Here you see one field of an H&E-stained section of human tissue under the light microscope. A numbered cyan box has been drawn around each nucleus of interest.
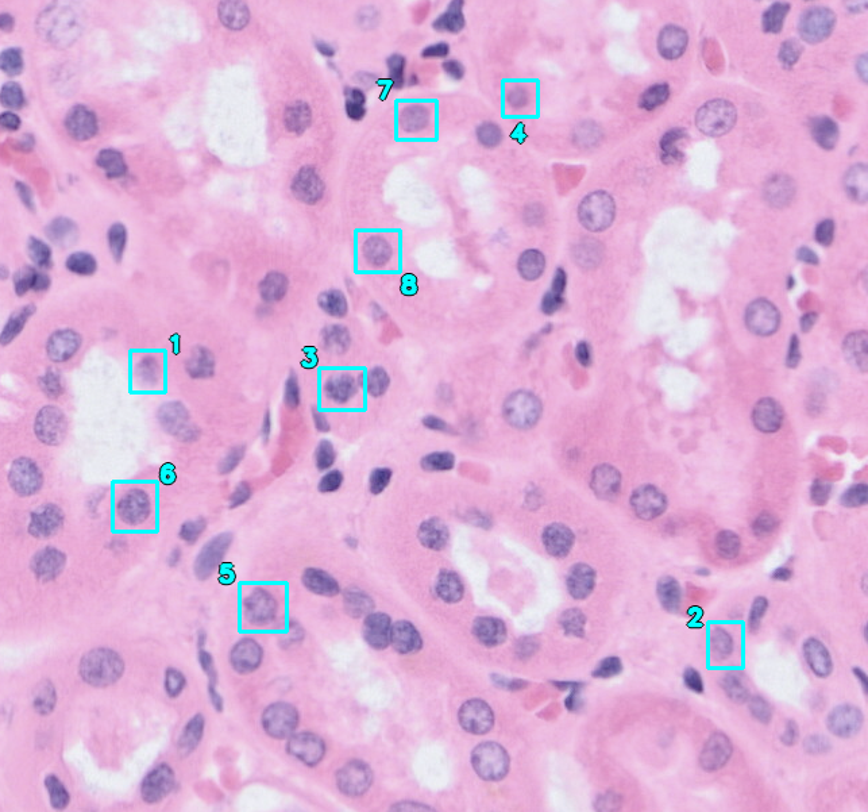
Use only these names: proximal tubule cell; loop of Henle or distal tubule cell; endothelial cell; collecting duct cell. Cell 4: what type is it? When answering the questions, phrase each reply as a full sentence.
Looking at the numbered marks, cell 4 is a proximal tubule cell.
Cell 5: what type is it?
The numeral 5 marks a proximal tubule cell in this section.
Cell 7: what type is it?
The cell identified by the number 7 is a proximal tubule cell.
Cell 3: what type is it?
Of the numbered cells, the one labelled 3 is a loop of Henle or distal tubule cell.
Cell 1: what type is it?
What the number 1 marks in this field is a loop of Henle or distal tubule cell.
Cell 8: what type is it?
In this section, the cell numbered 8 is a proximal tubule cell.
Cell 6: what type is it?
The cell identified by number 6 is a loop of Henle or distal tubule cell.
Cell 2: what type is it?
The numbered cell 2 is identified here as a collecting duct cell.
